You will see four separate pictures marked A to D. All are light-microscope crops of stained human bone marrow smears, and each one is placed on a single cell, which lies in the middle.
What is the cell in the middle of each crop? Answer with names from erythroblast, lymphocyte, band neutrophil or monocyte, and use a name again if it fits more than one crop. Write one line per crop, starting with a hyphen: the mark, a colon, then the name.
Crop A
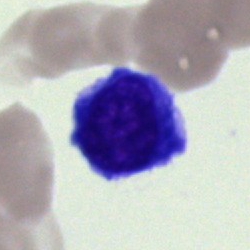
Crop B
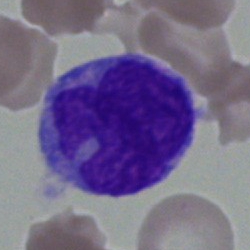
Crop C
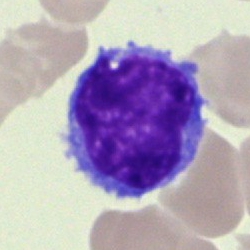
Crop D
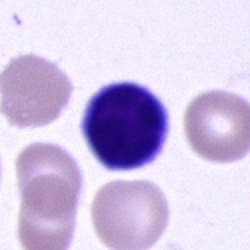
- A: erythroblast
- B: monocyte
- C: lymphocyte
- D: lymphocyte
